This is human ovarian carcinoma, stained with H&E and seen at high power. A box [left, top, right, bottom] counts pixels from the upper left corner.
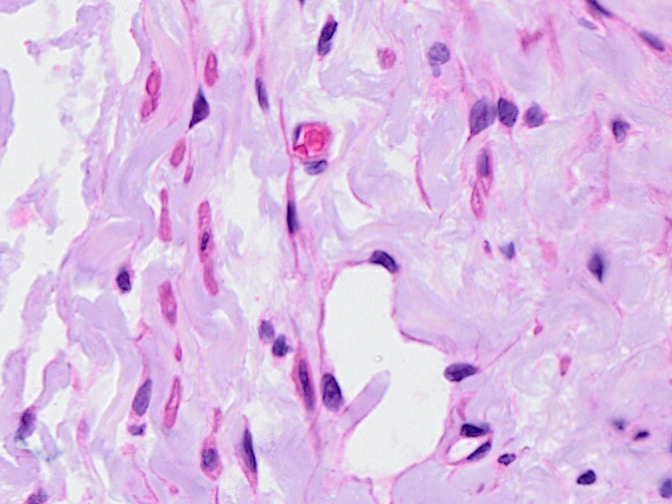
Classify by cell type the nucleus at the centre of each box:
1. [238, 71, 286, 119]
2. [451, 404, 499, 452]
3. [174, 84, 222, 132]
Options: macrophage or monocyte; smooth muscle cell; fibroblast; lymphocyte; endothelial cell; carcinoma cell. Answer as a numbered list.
1. fibroblast
2. endothelial cell
3. fibroblast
